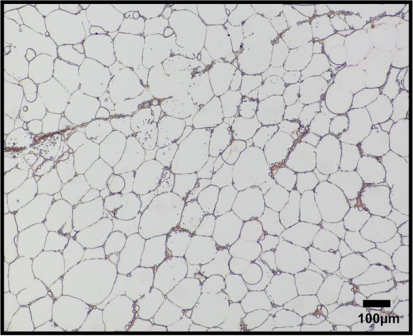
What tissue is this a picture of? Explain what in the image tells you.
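Adipose tissue. Closely packed polygonal cells with clear, empty-looking interiors. Each cell is bounded by a very thin rim. Thin strands of pinkish-brown tissue run between groups of cells.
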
